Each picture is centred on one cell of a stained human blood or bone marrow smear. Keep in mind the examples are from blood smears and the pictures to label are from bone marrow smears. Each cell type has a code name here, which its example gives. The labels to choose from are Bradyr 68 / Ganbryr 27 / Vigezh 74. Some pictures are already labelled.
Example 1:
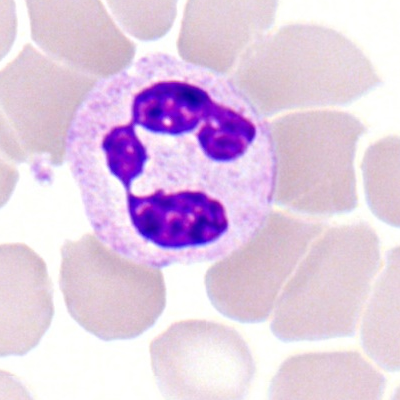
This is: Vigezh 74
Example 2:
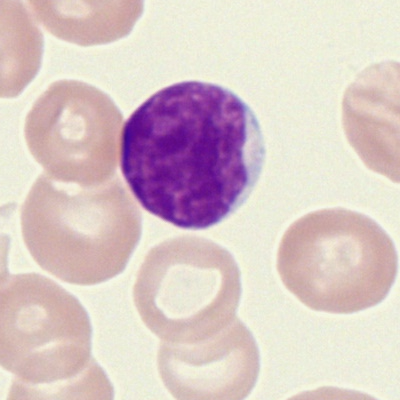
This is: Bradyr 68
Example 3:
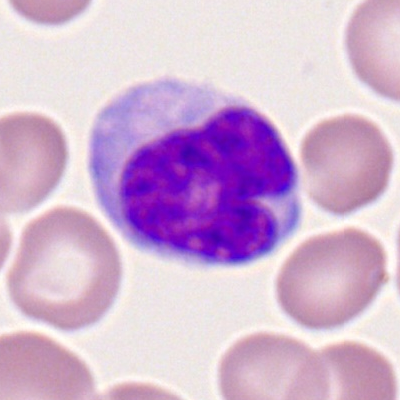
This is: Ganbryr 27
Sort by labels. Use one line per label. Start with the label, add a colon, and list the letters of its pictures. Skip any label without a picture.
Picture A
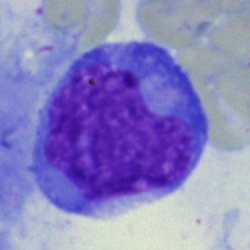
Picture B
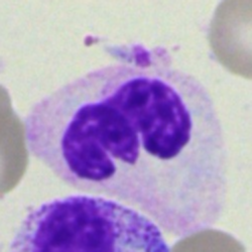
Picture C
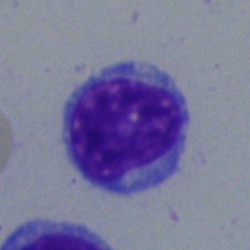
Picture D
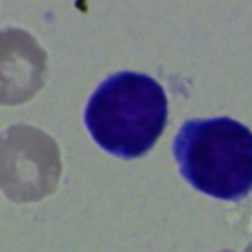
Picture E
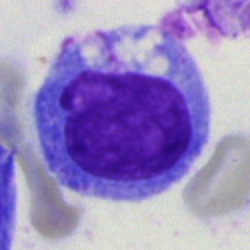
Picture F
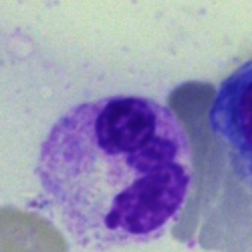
Bradyr 68: C, D
Ganbryr 27: A, E
Vigezh 74: B, F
